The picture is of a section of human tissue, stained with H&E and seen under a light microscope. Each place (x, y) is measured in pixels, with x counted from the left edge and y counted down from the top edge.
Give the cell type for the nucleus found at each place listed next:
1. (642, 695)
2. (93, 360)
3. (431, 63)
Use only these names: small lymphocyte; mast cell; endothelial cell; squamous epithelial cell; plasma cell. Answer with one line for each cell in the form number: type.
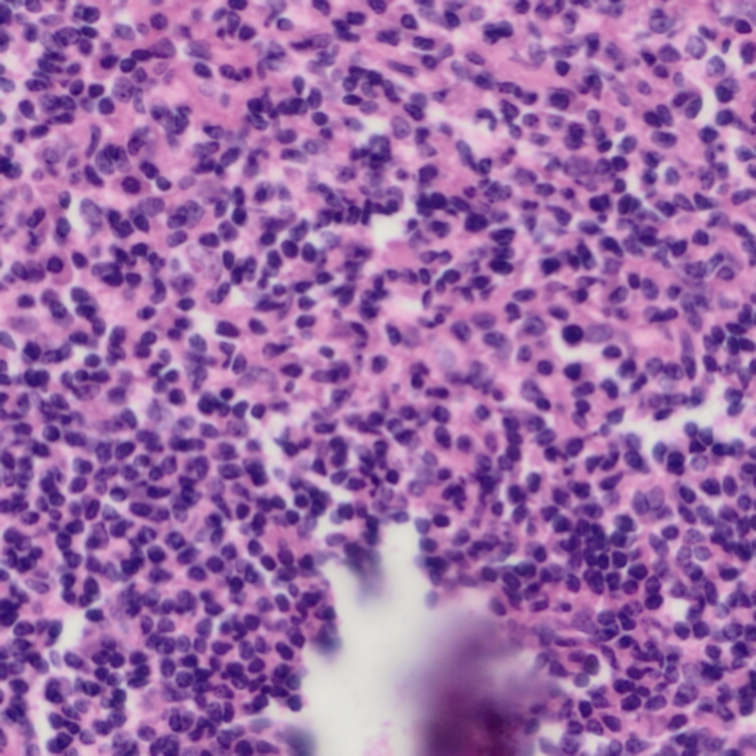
1: small lymphocyte
2: small lymphocyte
3: plasma cell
